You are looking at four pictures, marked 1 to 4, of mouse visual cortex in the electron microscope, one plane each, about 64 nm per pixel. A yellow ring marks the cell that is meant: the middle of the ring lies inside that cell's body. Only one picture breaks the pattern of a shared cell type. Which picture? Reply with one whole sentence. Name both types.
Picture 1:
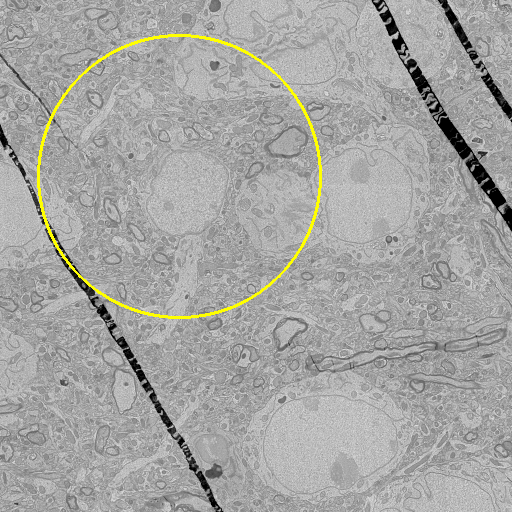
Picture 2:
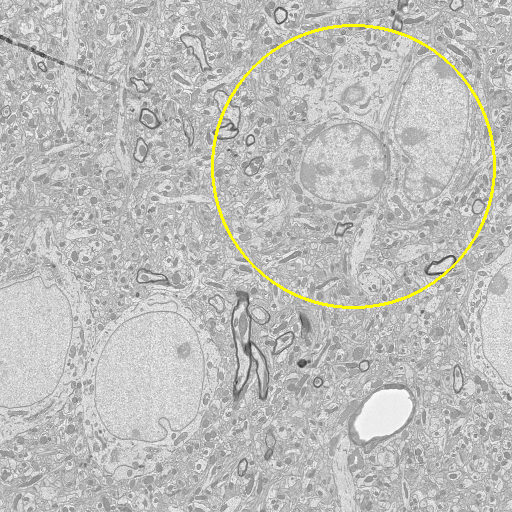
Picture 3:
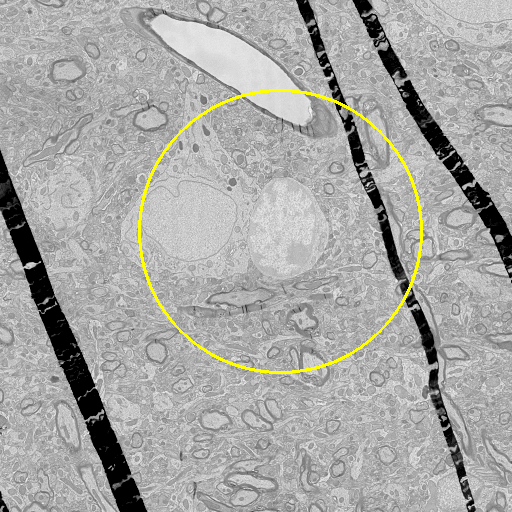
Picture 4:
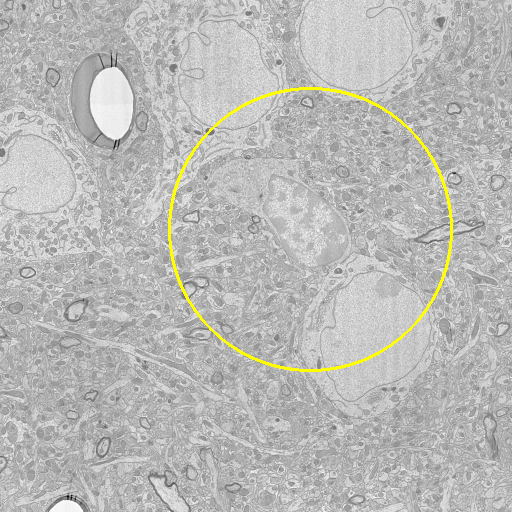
The different one is picture 1; it shows an oligodendrocyte precursor cell, whereas all the others show oligodendrocytes.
